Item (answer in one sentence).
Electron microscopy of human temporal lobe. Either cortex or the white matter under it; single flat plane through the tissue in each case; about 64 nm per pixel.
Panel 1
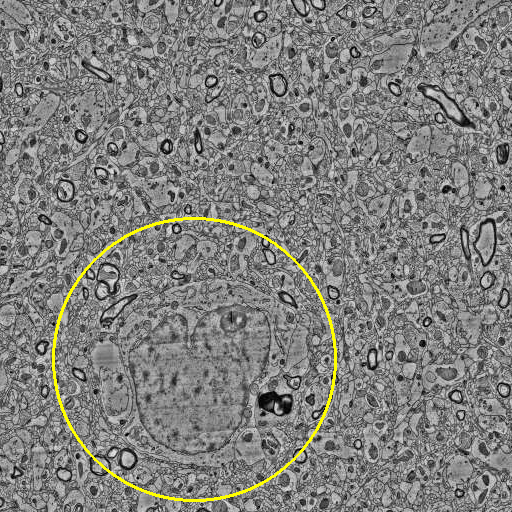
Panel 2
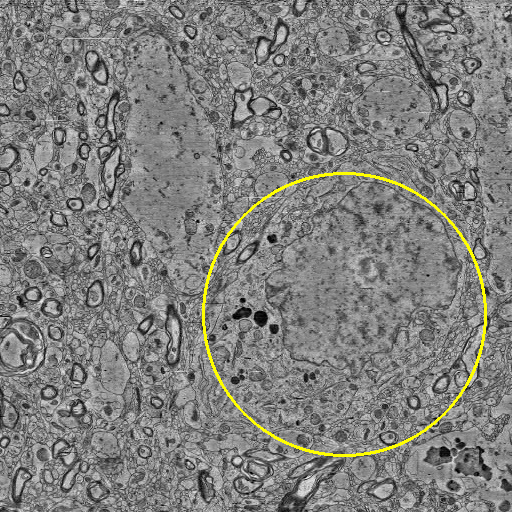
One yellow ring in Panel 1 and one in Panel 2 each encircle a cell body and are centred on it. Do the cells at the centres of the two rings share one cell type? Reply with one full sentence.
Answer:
Yes, Panel 1 and Panel 2 show cells of one type at the centres of their rings.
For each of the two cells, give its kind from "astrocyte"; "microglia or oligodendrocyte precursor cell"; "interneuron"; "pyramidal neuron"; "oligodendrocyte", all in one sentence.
Each one of the two ringed cells is an interneuron.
